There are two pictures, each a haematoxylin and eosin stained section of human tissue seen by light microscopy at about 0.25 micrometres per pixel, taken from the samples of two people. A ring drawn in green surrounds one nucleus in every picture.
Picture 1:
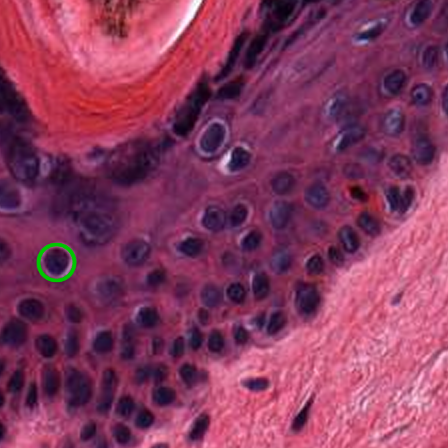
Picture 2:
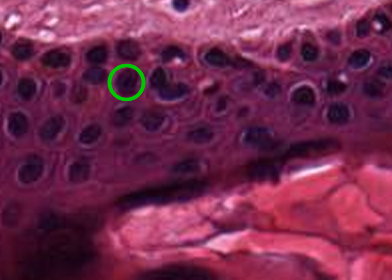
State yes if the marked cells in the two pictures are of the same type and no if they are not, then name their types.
Yes, both are keratinocytes.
